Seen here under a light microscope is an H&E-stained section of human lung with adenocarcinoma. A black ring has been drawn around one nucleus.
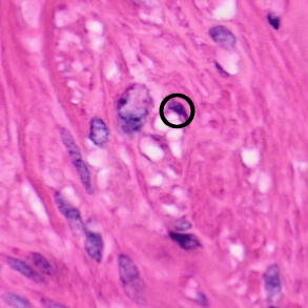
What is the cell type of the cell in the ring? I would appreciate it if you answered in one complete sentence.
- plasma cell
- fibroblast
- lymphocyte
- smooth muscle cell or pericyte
In this tissue sample, the cell in the ring is a smooth muscle cell or pericyte.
